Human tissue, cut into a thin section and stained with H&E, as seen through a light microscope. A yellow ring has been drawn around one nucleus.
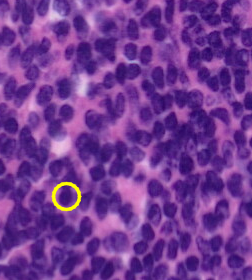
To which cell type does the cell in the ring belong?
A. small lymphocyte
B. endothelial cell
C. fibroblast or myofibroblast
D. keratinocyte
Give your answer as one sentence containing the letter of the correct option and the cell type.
Of all the options, A is right, since the cell in the ring is a small lymphocyte.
